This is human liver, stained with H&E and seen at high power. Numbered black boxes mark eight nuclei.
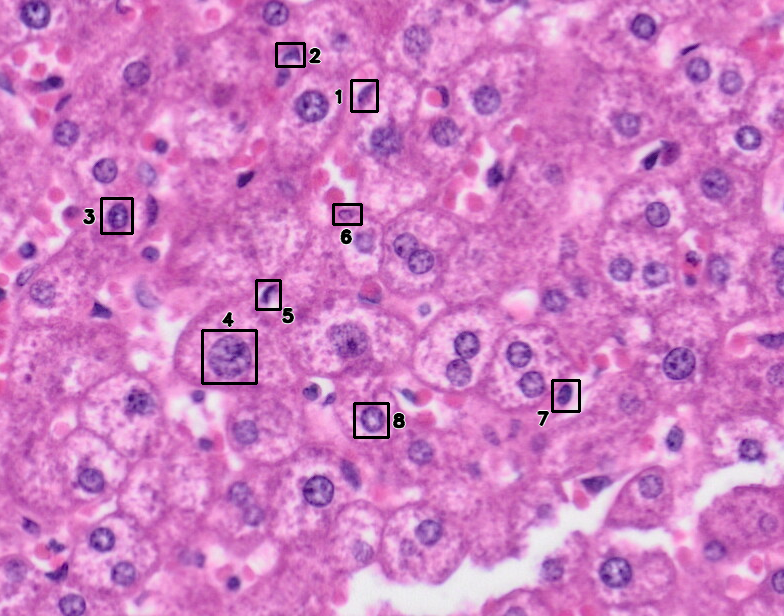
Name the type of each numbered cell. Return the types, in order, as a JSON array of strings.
["endothelial cell", "endothelial cell", "hepatocyte", "hepatocyte", "endothelial cell", "Kupffer cell", "lymphocyte", "hepatocyte"]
